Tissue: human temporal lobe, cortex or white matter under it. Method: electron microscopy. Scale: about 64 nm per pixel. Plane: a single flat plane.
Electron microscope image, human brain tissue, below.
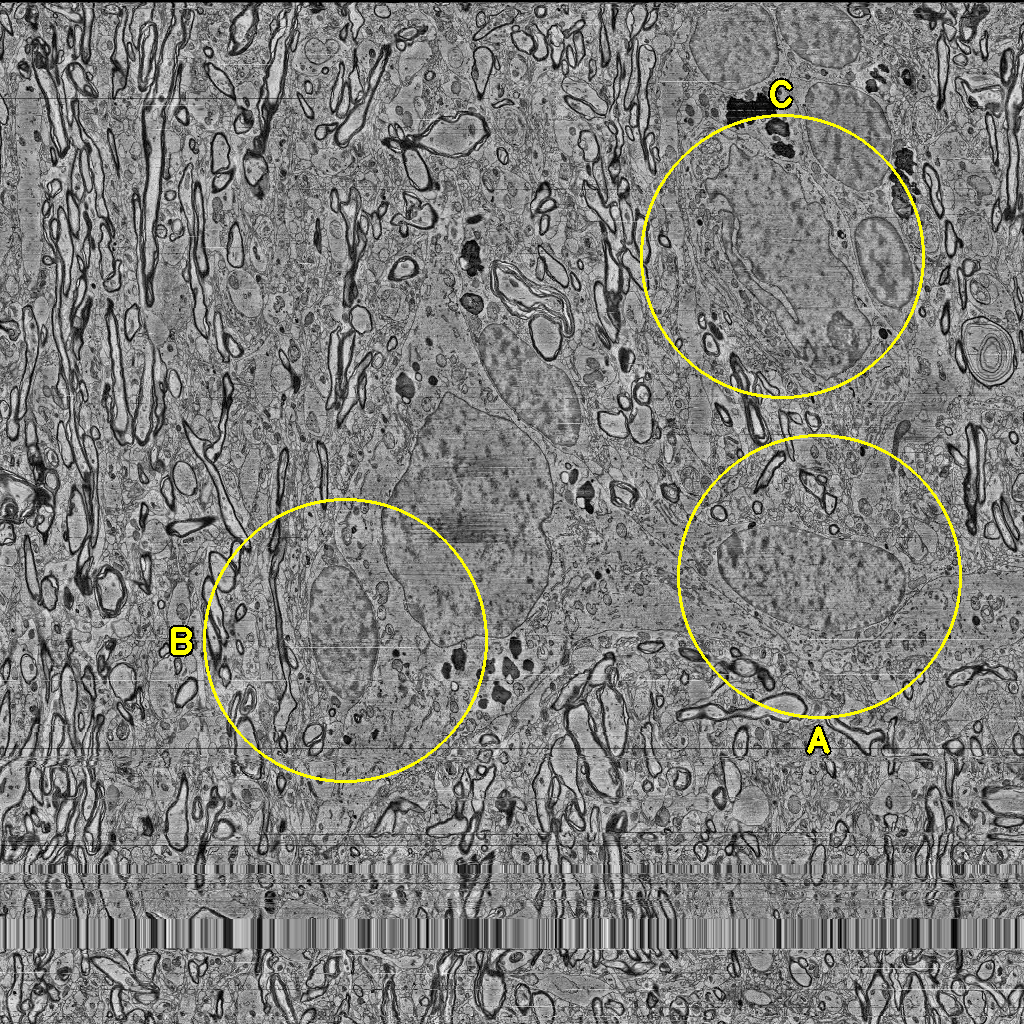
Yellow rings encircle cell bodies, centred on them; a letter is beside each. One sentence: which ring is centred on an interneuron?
It is ring C.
